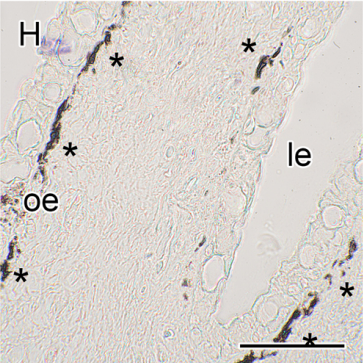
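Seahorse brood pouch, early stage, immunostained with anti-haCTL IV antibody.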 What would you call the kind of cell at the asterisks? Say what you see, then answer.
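The asterisks sit beside dark brown to black elongated cells lined up under both epithelial surfaces. The dark cells form a thin band beneath the layers of rounded cells. On this evidence: pigment cells.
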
